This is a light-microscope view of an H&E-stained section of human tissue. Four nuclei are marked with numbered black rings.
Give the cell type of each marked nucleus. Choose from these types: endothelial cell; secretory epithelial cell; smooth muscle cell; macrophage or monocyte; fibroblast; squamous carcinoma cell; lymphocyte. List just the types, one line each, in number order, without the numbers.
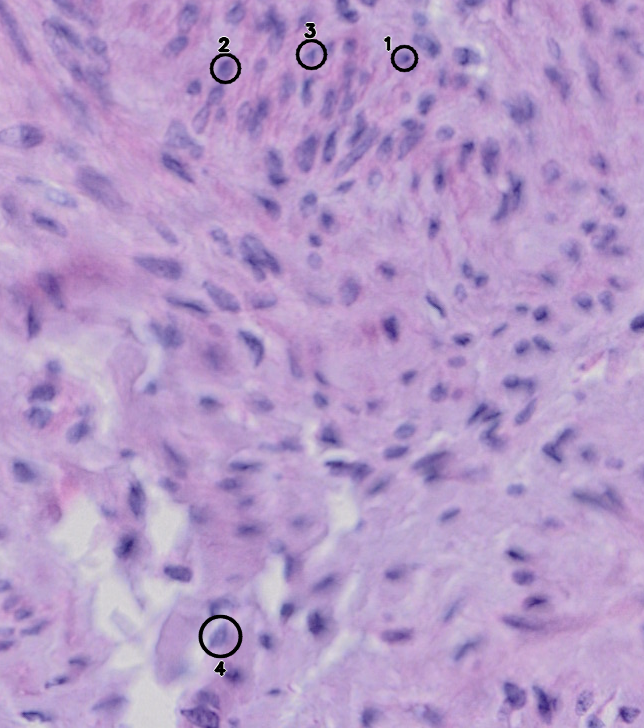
smooth muscle cell
smooth muscle cell
smooth muscle cell
fibroblast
